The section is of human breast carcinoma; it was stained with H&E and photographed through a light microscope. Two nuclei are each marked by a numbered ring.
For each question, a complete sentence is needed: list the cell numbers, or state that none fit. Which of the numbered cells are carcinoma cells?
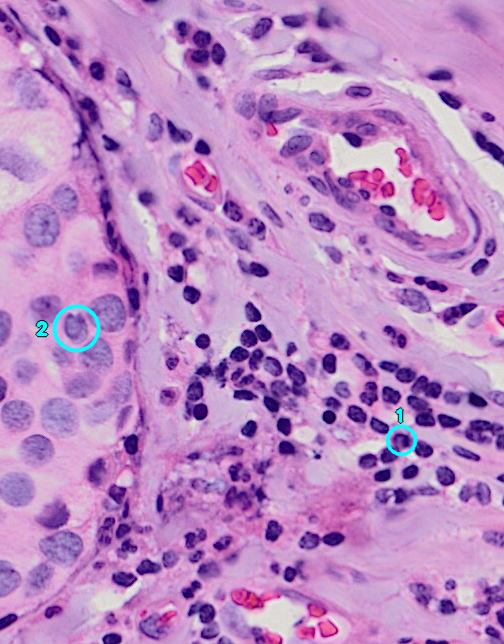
Among the numbered nuclei, only the one labelled 2 belongs to a carcinoma cell.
